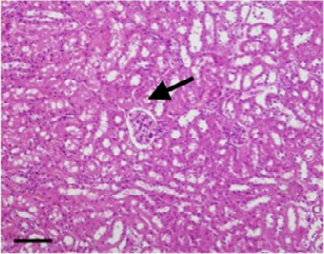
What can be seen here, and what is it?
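This is renal cortex, with a glomerulus showing as a compact round tuft of capillary loops and nuclei inside a thin capsule with a narrow clear space around it. Around it lie many cross-sectioned tubules with pink cytoplasm and round nuclei lining their lumina. The architecture looks orderly, without obvious inflammatory infiltrates.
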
